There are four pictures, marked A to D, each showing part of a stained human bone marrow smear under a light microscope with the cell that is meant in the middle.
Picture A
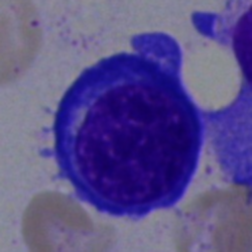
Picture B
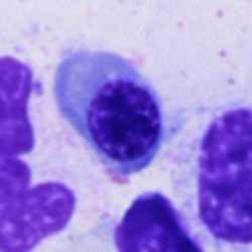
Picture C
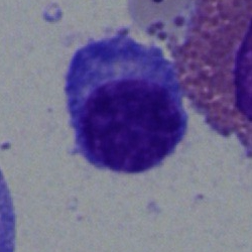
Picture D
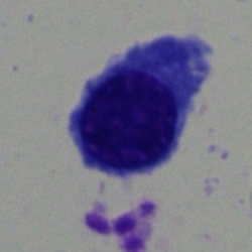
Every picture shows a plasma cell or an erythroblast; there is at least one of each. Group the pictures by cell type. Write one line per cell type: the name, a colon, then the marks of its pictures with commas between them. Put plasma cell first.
plasma cell: C, D
erythroblast: A, B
